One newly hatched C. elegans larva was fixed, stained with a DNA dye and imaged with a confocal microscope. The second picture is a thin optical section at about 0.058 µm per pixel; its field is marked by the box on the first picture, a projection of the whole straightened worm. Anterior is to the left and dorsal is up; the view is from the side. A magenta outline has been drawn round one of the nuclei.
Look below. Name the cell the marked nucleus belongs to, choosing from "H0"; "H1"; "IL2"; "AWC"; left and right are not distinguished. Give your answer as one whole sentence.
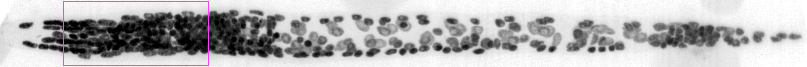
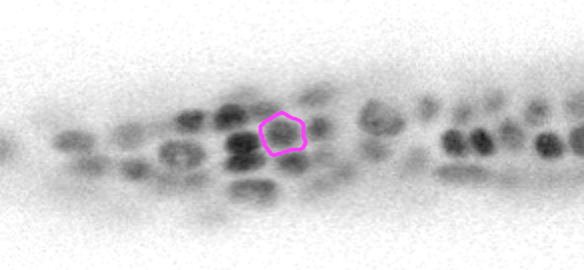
The marked nucleus belongs to IL2, a neuron.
